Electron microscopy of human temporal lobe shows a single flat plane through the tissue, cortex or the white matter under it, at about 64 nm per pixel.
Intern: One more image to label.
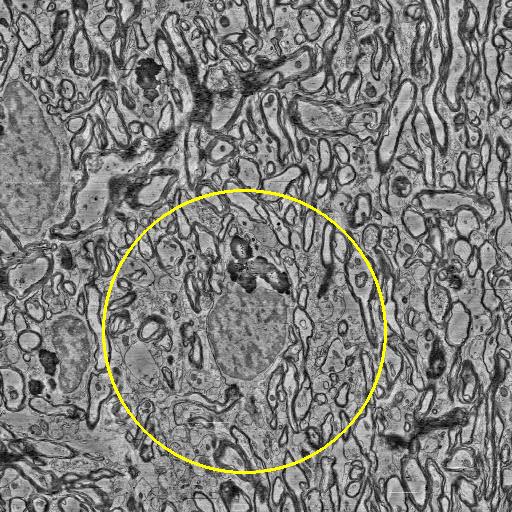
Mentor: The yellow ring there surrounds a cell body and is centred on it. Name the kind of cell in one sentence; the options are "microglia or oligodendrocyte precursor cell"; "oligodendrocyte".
The ring marks the cell body of an oligodendrocyte.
